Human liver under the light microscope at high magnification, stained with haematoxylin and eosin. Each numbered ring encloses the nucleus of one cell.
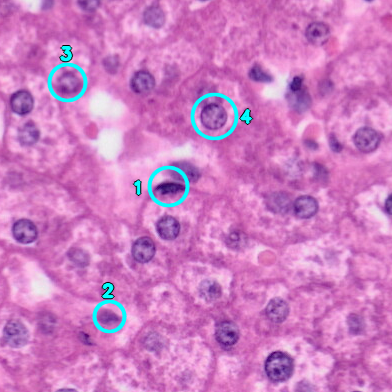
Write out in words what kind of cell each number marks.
Cell 1 is a fibroblast or stellate cell, cell 2 is a Kupffer cell, cell 3 is a hepatocyte and cell 4 is a hepatocyte.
